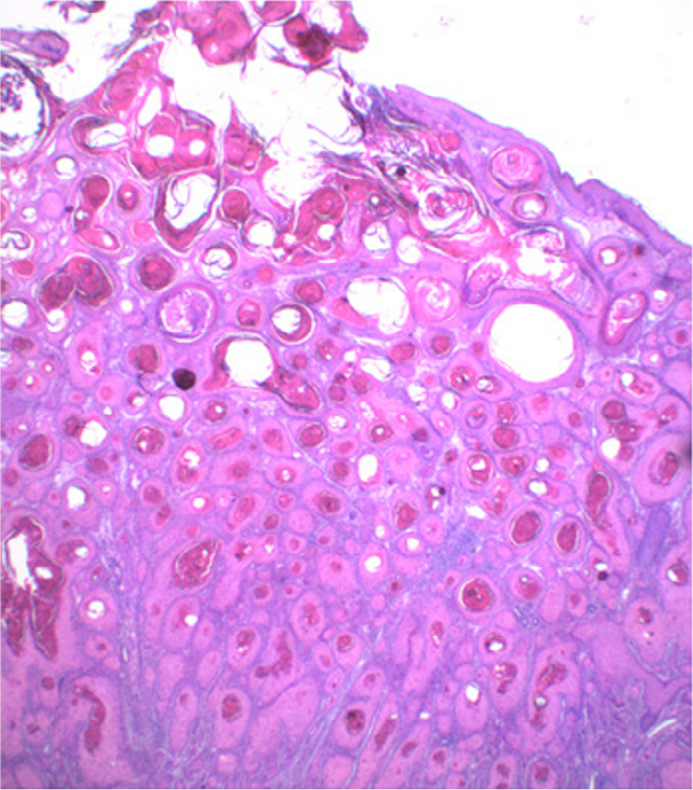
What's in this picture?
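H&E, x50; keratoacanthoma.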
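A squamous epithelial proliferation of skin shows infundibular-type keratinisation, with numerous small round keratin-filled cysts packed throughout the purple-staining epithelium. The cysts hold concentric pink to dark red keratin, some appearing empty, and they become larger and open onto the surface at the top, where keratin debris lies.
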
